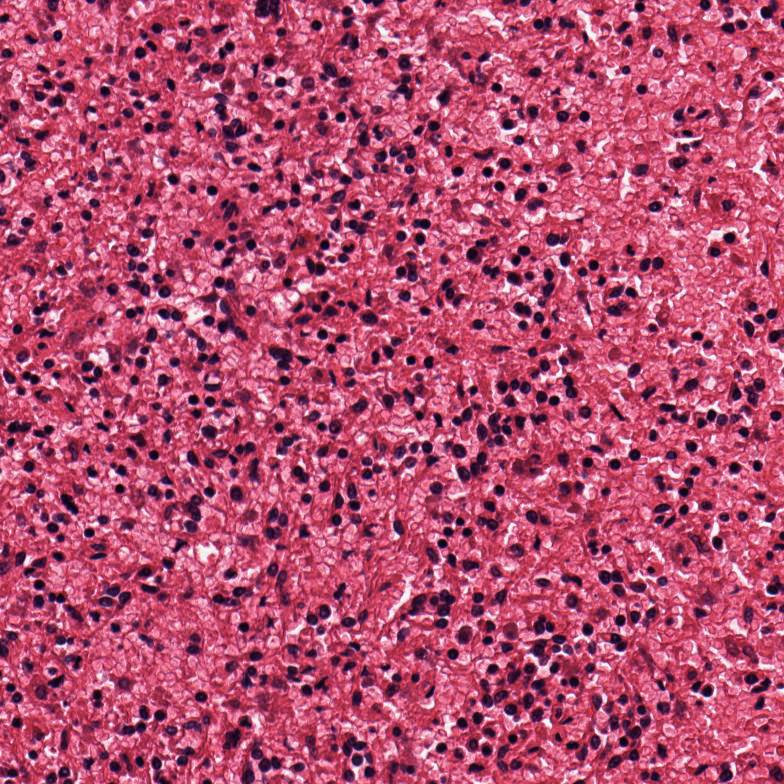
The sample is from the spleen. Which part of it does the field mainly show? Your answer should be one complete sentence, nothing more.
The portion of tissue on this slide is called red pulp.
